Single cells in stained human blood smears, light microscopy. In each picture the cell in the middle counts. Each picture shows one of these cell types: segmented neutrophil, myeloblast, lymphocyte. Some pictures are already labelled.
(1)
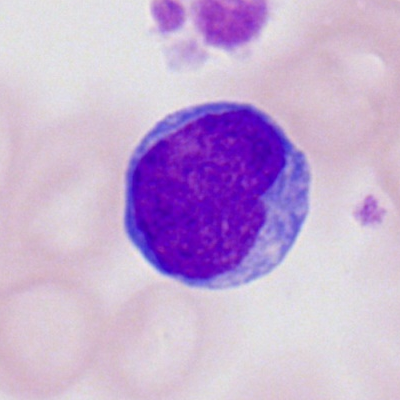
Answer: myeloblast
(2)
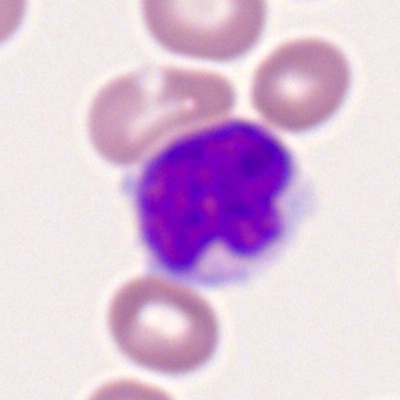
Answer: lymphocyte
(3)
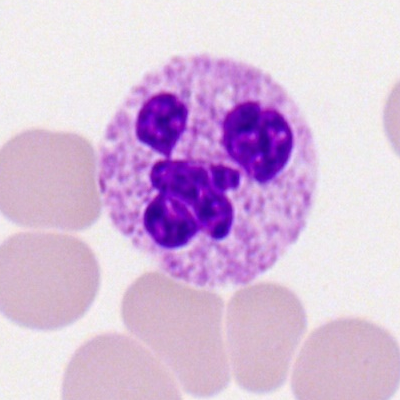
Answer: segmented neutrophil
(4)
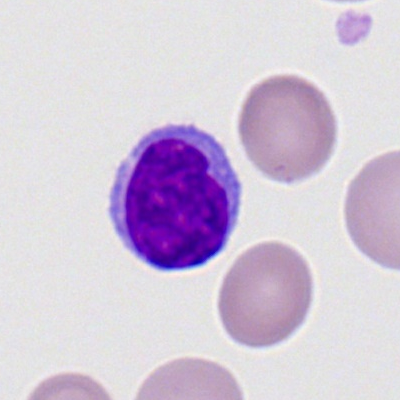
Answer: lymphocyte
